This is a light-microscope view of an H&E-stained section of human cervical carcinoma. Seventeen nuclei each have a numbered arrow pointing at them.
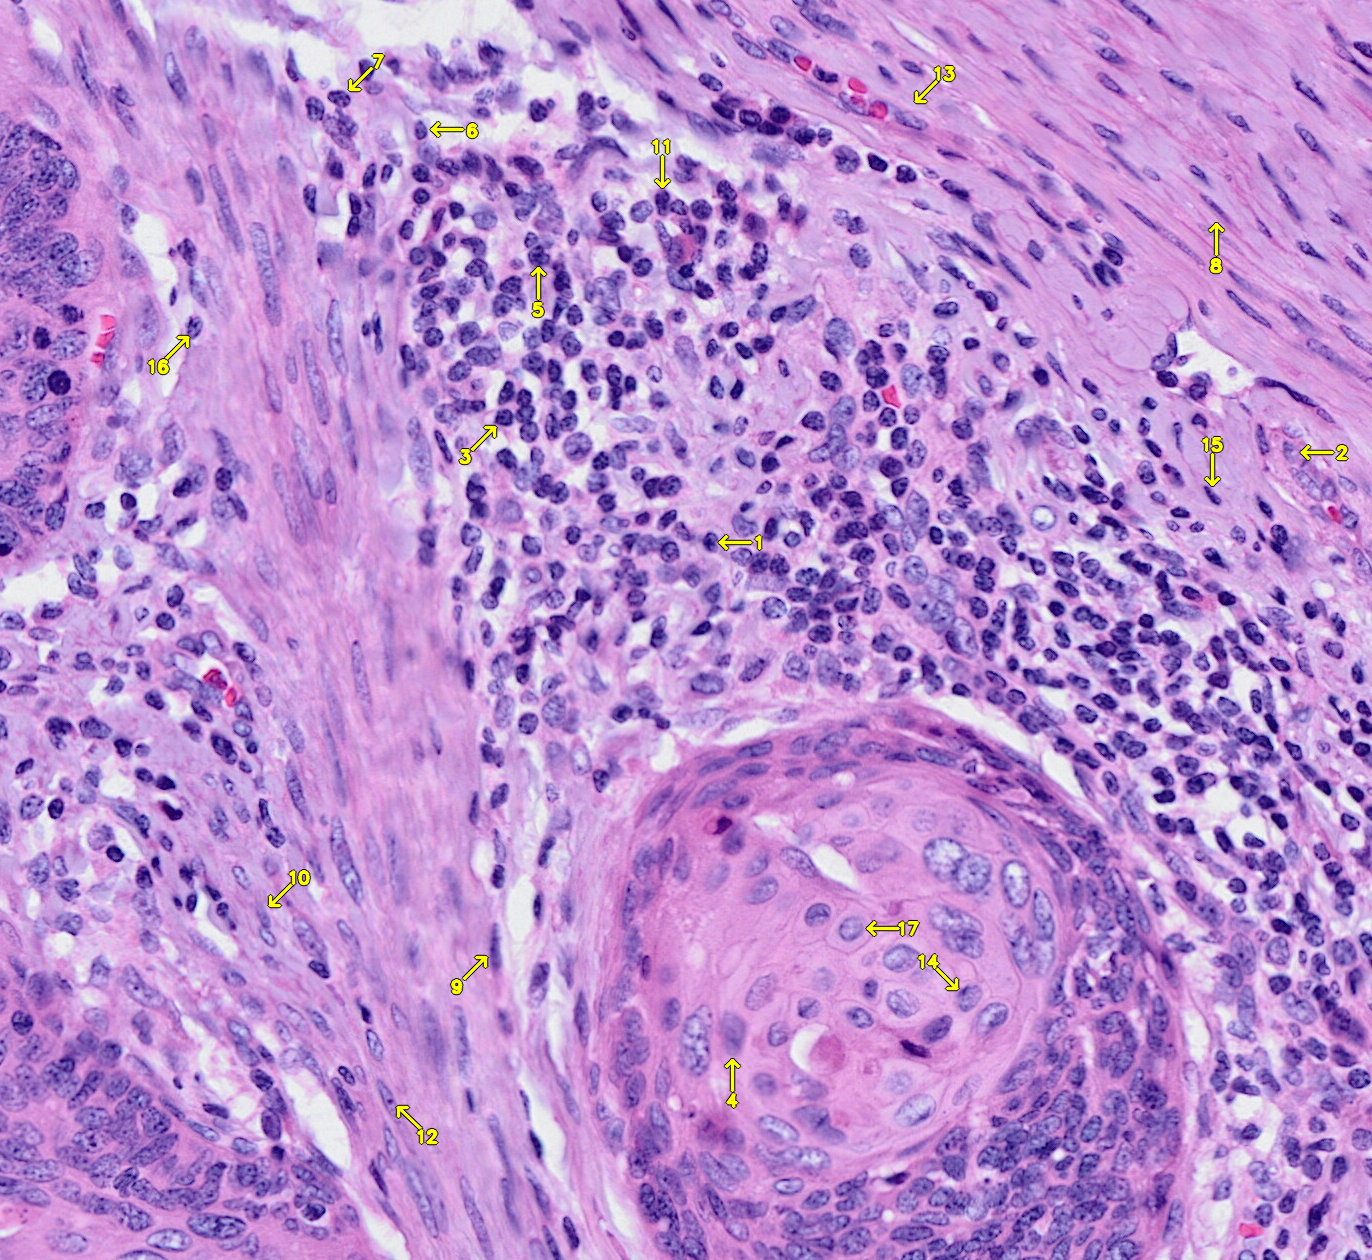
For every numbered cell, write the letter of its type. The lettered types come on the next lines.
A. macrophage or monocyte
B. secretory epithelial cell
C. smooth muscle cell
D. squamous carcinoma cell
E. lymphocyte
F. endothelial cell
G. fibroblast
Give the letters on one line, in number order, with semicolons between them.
E; F; E; D; E; E; E; C; G; C; E; C; F; D; G; E; D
